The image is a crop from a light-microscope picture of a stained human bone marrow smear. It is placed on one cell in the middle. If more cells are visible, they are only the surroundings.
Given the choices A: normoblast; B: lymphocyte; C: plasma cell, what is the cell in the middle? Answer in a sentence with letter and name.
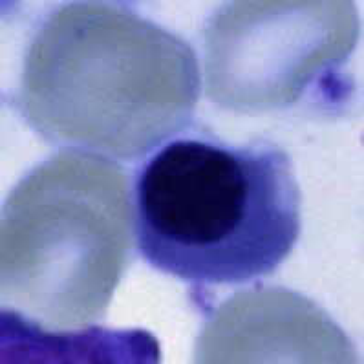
The cell in the middle is a normoblast, and so option A is correct.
